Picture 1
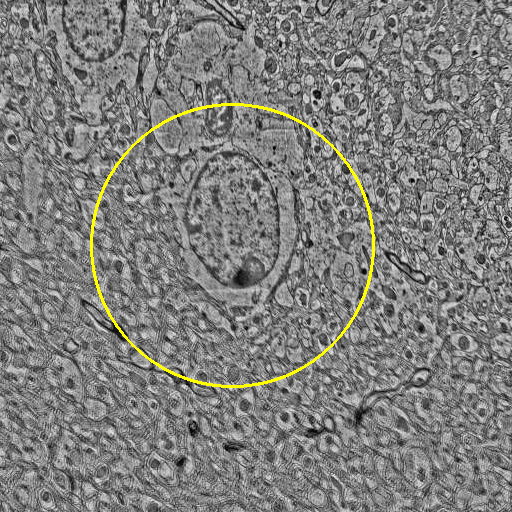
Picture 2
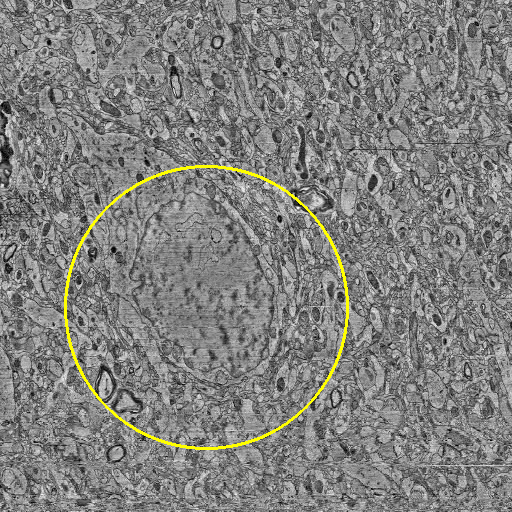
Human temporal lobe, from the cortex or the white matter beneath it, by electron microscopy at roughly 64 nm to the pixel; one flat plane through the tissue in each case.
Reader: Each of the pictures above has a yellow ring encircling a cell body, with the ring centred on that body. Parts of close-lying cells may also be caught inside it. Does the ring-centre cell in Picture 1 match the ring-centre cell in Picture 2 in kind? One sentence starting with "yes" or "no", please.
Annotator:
No, Picture 1 and Picture 2 show ring-centre cells of two kinds.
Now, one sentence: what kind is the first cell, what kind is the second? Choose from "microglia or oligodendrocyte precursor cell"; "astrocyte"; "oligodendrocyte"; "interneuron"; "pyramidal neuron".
The first picture has an astrocyte at its ring centre, and the second has an interneuron.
